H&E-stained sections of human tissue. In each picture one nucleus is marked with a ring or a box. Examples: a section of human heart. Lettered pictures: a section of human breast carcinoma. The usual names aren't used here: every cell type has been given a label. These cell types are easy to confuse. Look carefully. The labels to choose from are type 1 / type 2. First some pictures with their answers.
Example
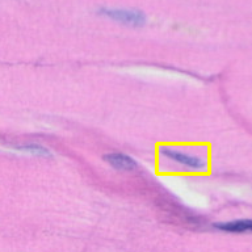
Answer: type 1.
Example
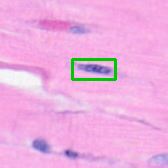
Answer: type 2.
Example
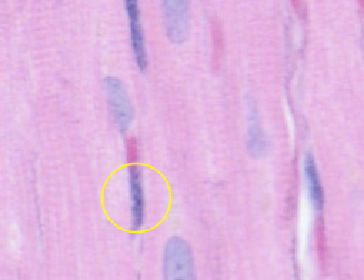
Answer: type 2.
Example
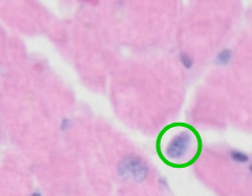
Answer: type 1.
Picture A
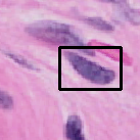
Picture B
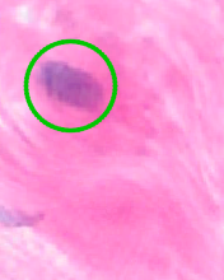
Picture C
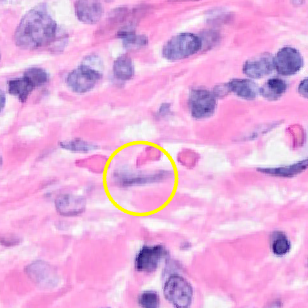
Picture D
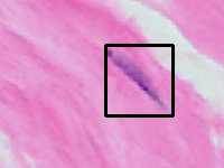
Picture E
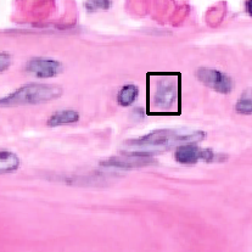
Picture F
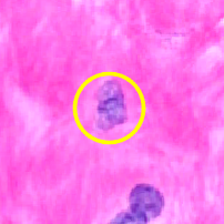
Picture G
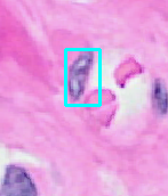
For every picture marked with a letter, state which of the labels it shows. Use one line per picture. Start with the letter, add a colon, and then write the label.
A: type 2.
B: type 1.
C: type 2.
D: type 1.
E: type 2.
F: type 1.
G: type 2.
